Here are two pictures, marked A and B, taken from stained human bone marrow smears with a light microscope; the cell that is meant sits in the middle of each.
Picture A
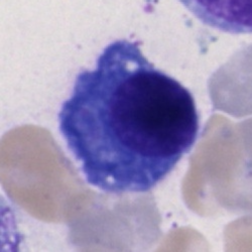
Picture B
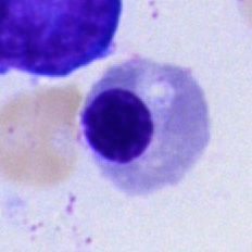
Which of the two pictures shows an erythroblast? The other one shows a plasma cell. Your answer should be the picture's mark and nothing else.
B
